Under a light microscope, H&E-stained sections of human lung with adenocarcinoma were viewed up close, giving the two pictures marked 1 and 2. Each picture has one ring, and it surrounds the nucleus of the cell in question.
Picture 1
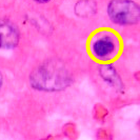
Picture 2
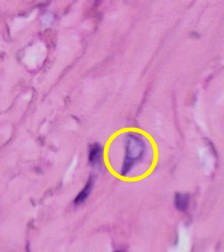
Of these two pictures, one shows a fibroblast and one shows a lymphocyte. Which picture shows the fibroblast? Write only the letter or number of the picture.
2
